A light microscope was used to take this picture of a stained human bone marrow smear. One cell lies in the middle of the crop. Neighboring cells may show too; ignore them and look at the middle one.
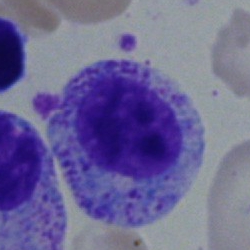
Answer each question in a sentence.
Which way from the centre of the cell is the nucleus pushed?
Seen from the middle of the cell, the nucleus lies toward the top.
